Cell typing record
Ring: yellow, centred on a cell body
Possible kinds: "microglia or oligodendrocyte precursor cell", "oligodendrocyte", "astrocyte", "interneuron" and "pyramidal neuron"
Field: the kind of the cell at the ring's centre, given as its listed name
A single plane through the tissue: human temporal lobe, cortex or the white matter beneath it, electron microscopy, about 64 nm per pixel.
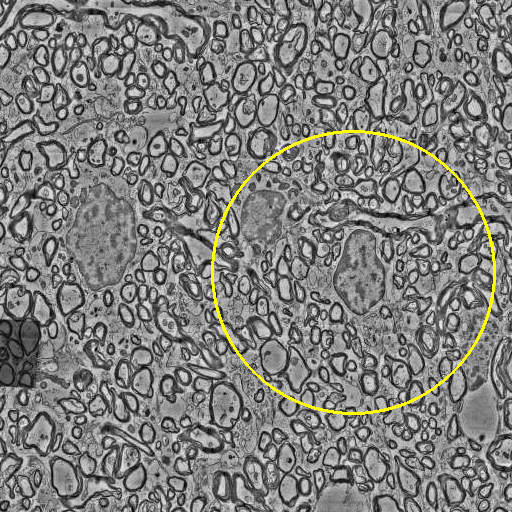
microglia or oligodendrocyte precursor cell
